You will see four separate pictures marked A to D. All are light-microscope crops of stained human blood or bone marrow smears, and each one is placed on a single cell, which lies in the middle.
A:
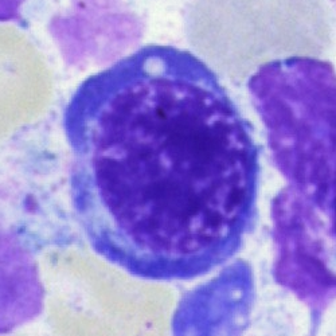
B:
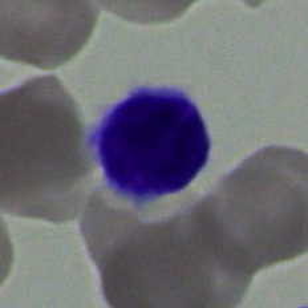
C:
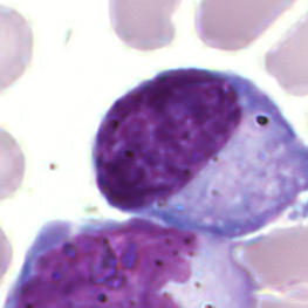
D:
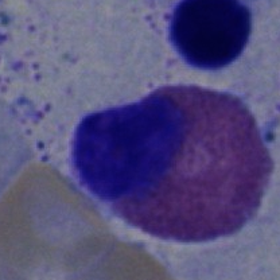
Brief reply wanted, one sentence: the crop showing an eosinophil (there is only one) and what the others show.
In the crop designated D, the cell is an eosinophil, while crop A is a normoblast, crop B is a lymphocyte and crop C is a plasma cell.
